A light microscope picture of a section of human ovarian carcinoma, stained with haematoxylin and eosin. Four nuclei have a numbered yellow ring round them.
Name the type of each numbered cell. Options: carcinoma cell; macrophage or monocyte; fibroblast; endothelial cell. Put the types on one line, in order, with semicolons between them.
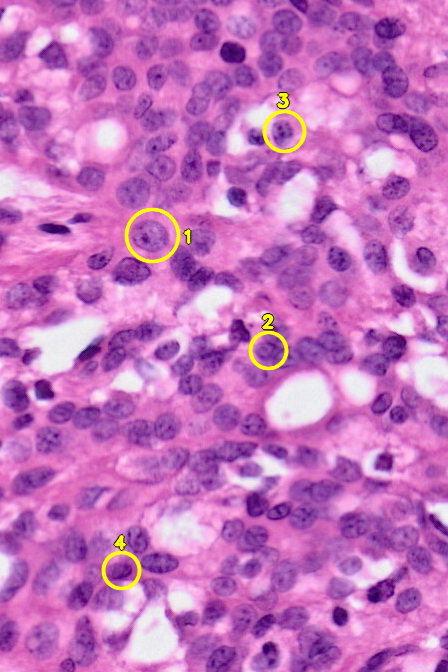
carcinoma cell; carcinoma cell; macrophage or monocyte; carcinoma cell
